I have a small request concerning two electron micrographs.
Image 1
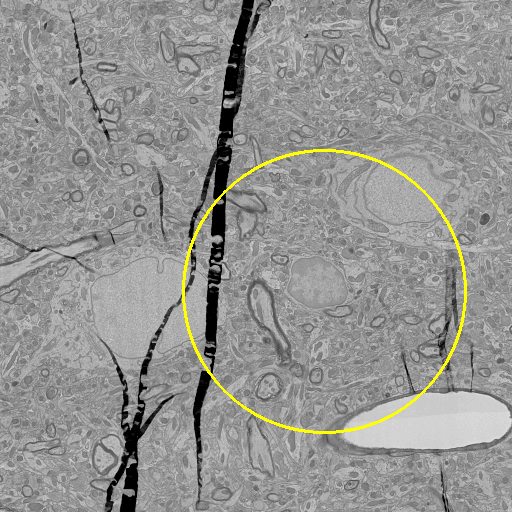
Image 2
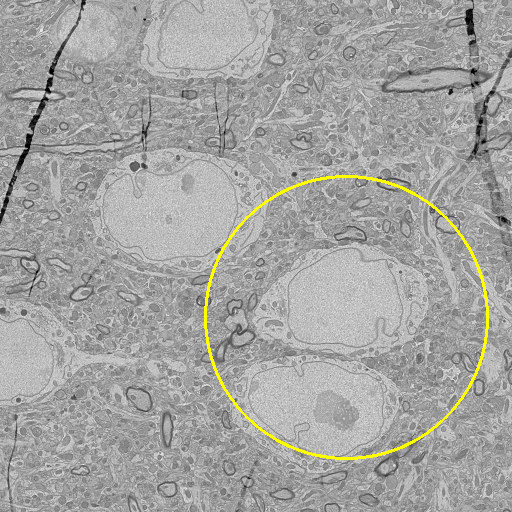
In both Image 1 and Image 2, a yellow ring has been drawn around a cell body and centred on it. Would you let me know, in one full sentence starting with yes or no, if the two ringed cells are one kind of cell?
No, the cells ringed in Image 1 and Image 2 are two kinds of cell.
